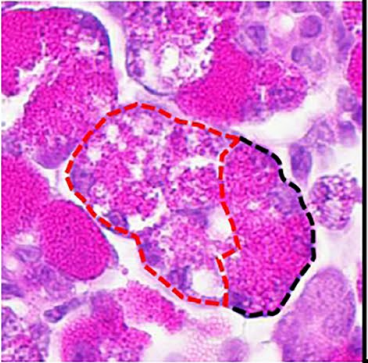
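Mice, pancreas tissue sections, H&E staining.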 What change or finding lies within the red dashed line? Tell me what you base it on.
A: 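Outlined cells have a foamy cytoplasm with many clear holes. Adjacent cells beside the outline keep dense pink granules. On this evidence: vacuolization.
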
